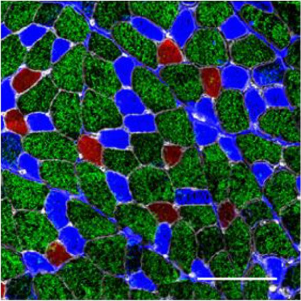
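Here again skeletal muscle is seen in cross-section, its fibers tightly fitted polygons outlined by thin white borders. Speckled green fibers make up most of the field, blue fibers are common and lie in small groups among them, while red fibers are few and dark unstained fibers are scarce.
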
